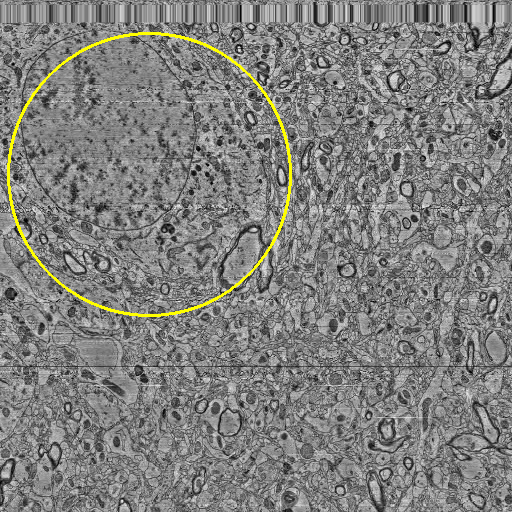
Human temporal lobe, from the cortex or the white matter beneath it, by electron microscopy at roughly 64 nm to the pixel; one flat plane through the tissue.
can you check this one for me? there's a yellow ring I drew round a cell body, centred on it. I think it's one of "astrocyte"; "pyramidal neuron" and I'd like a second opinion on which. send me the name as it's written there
pyramidal neuron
